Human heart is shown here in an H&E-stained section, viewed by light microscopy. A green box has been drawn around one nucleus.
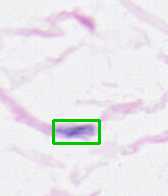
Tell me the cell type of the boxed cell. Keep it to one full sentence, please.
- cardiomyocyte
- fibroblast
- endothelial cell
In the tissue under study, the boxed cell is a fibroblast.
